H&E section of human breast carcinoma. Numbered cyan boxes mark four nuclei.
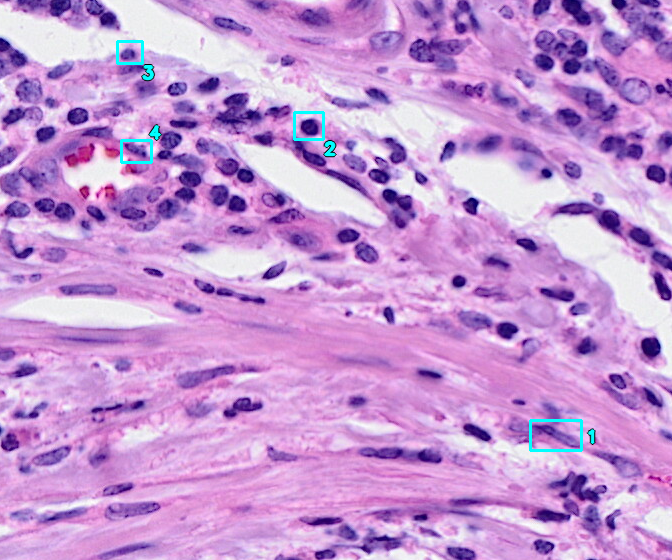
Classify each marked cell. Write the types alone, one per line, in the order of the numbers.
endothelial cell
lymphocyte
lymphocyte
endothelial cell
